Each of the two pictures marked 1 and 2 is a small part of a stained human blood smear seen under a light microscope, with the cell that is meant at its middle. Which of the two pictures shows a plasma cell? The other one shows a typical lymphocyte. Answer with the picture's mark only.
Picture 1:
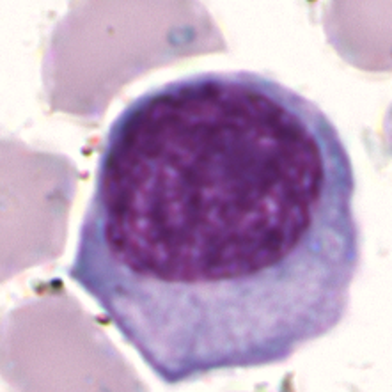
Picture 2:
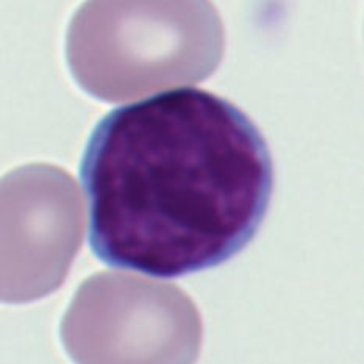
1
